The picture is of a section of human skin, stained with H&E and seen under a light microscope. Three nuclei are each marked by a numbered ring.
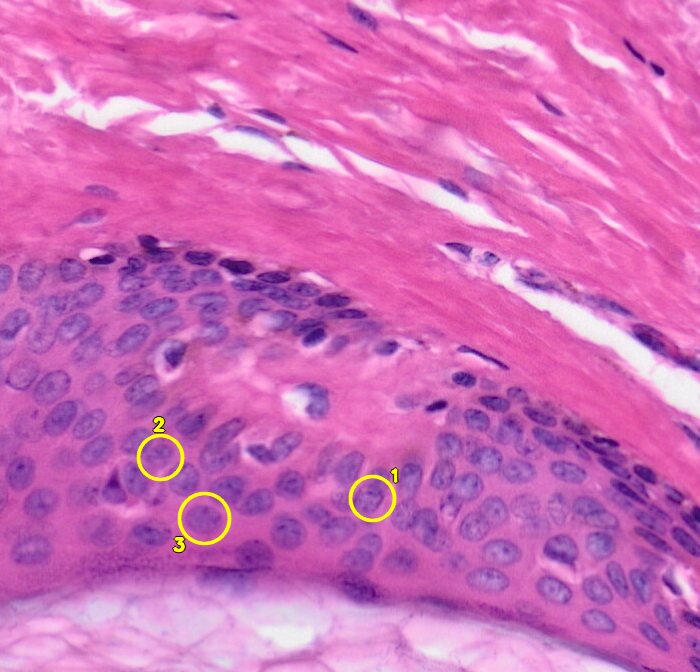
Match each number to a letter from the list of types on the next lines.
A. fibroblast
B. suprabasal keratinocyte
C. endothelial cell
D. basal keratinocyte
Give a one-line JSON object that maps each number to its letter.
{"1": "D", "2": "B", "3": "B"}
